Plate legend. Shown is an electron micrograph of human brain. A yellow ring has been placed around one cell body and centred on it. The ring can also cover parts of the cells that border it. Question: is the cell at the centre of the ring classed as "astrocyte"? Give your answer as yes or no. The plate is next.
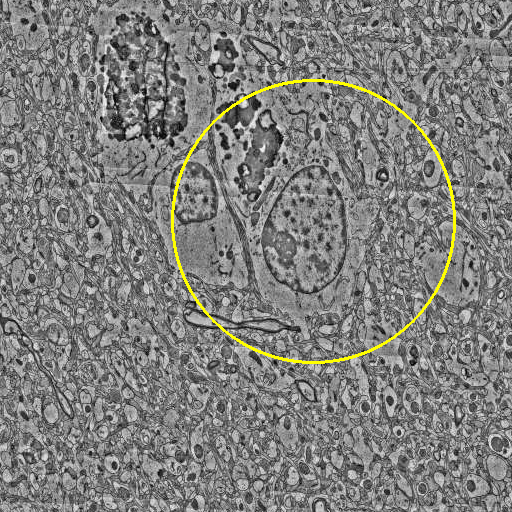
Yes, the ringed cell is of that kind.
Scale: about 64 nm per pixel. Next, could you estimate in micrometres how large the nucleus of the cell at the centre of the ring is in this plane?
In this plane the nucleus is clearly longer than it is wide: roughly 8 by 5 micrometres.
